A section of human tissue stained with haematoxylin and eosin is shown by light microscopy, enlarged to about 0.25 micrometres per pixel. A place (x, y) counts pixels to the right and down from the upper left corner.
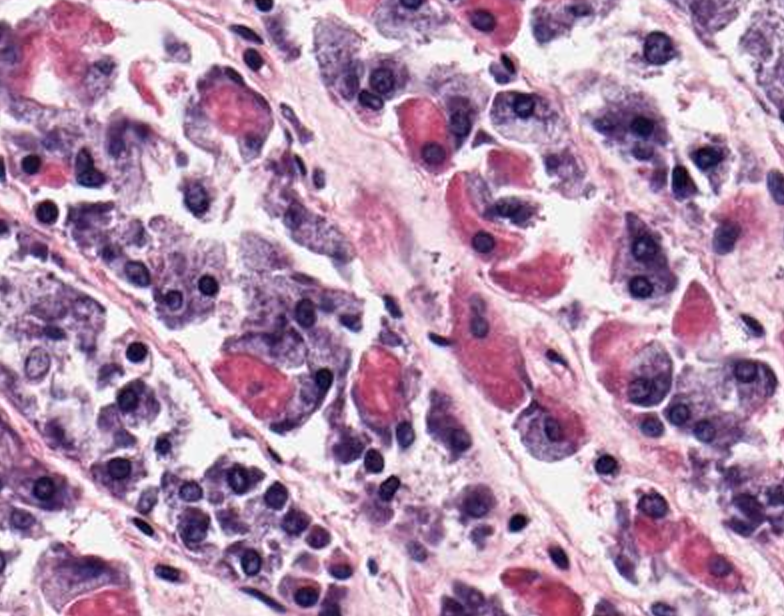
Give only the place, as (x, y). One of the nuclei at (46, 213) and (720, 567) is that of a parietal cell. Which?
(720, 567)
